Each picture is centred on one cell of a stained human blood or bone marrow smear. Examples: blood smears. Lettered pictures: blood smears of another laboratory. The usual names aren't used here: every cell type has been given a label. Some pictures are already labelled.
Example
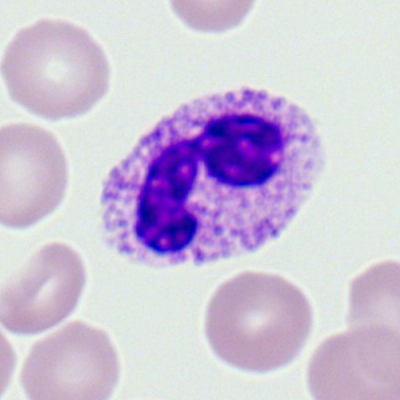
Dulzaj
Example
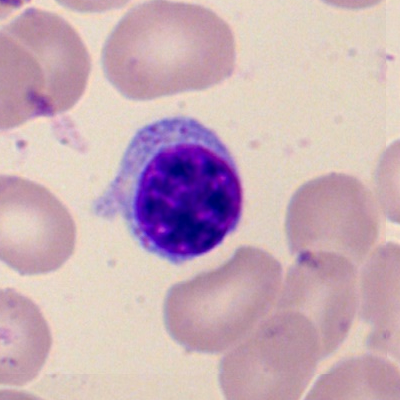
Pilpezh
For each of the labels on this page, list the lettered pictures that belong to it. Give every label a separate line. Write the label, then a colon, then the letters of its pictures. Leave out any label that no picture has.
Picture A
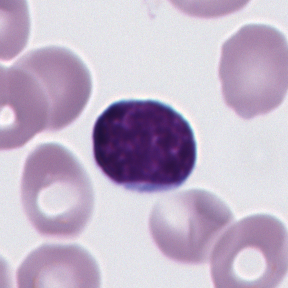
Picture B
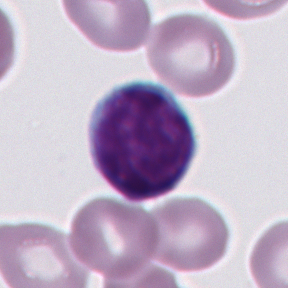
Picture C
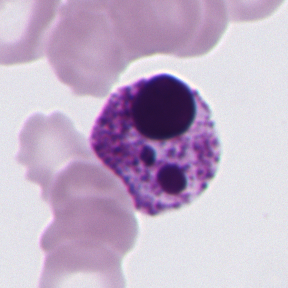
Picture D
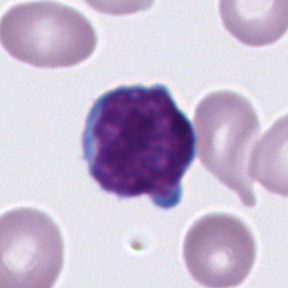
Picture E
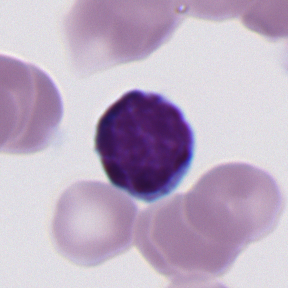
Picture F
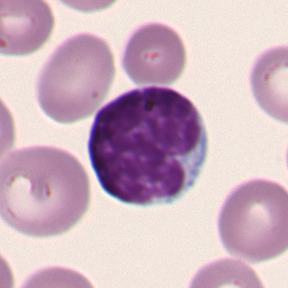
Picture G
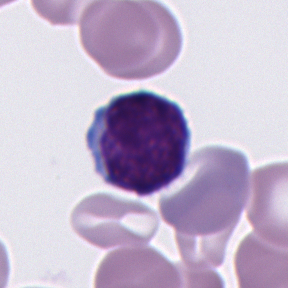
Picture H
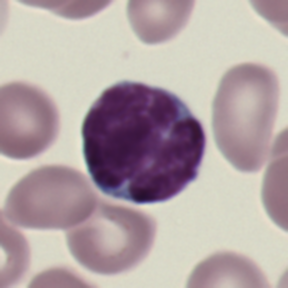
Dulzaj: C
Pilpezh: A, B, D, E, F, G, H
